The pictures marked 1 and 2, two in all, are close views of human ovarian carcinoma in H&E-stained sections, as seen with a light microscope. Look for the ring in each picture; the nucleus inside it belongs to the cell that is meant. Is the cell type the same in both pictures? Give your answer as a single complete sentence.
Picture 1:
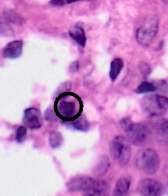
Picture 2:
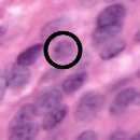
No, they differ: the cell is a carcinoma cell in picture 1 and a “macrophage or monocyte” in picture 2.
